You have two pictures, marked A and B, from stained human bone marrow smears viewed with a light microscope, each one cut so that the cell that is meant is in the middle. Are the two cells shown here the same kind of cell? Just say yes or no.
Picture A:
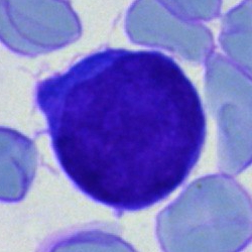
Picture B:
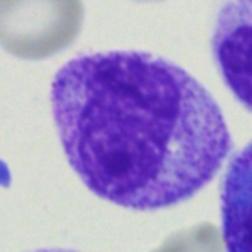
no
